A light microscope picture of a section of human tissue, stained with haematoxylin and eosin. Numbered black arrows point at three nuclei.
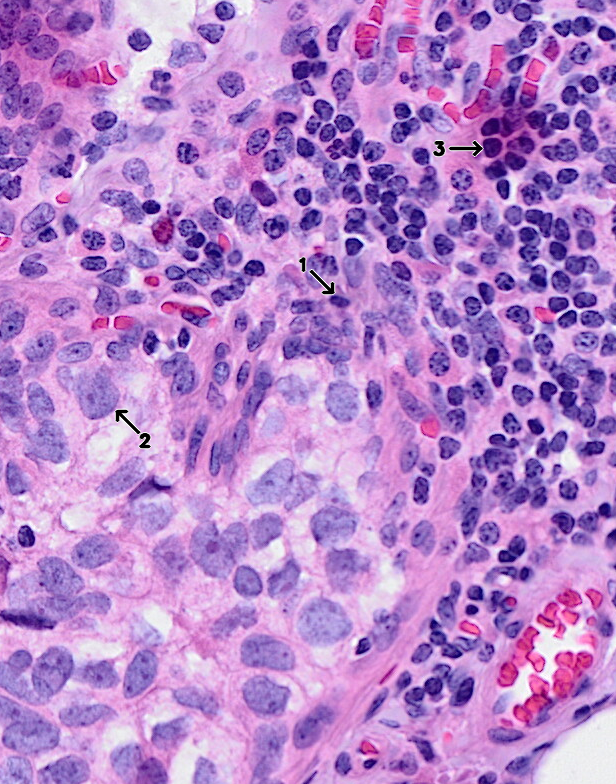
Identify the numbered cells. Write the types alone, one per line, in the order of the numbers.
lymphocyte
carcinoma cell
lymphocyte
